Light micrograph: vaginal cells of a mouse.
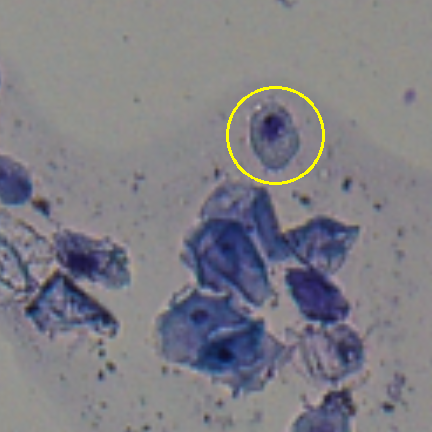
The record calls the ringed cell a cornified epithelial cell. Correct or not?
Not correct; it is a nucleated epithelial cell.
